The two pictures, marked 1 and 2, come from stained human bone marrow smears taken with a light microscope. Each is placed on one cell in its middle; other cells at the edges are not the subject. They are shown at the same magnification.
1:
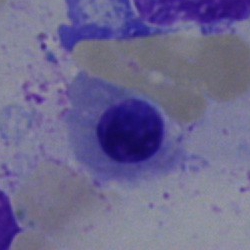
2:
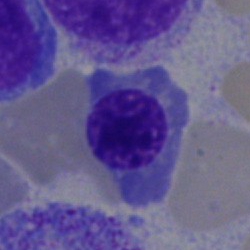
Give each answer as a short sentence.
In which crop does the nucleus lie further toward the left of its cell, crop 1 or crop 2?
The nucleus in crop 2 lies further toward the left of its cell.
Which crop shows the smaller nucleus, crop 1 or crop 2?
Crop 1 shows the smaller nucleus, since that in crop 2 covers about 1.5 times as much area.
